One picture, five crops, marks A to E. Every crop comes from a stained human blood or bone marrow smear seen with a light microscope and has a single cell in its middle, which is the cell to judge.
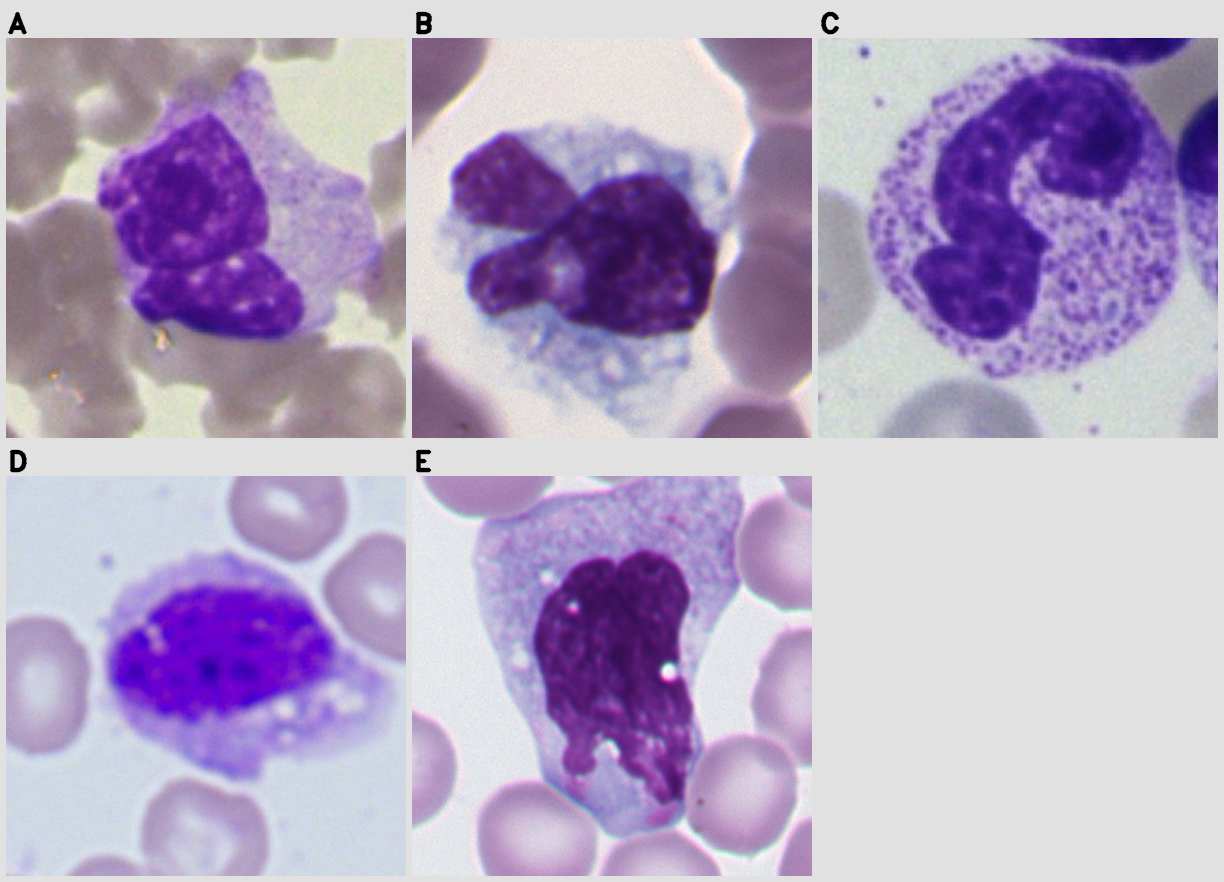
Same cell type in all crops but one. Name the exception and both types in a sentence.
Crop C does not fit, being a segmented neutrophil where all the others show monocytes.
